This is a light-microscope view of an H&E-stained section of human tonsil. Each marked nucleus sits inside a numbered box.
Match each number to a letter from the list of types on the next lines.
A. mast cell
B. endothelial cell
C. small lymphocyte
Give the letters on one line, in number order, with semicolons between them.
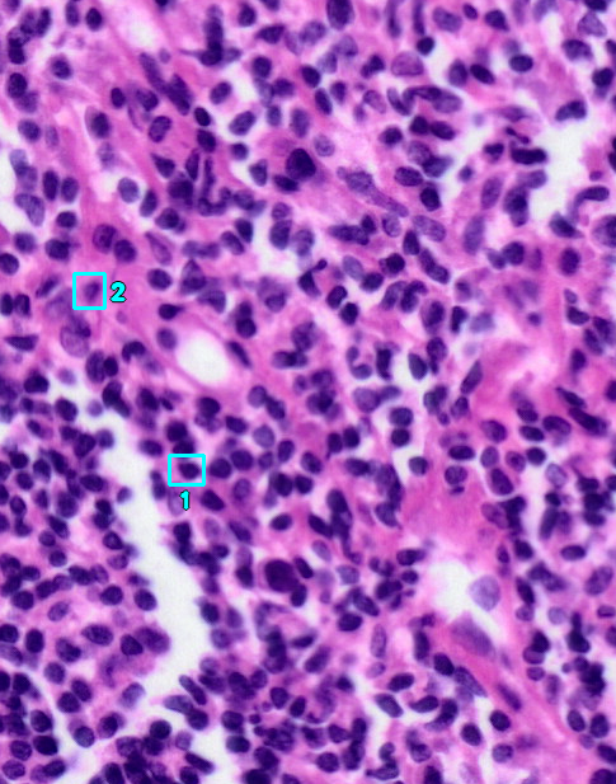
C; B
